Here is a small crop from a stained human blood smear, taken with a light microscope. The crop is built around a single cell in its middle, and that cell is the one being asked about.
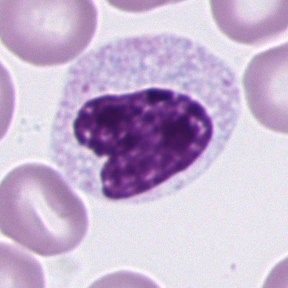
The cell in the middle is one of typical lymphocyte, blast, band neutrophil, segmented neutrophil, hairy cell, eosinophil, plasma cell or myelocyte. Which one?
band neutrophil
